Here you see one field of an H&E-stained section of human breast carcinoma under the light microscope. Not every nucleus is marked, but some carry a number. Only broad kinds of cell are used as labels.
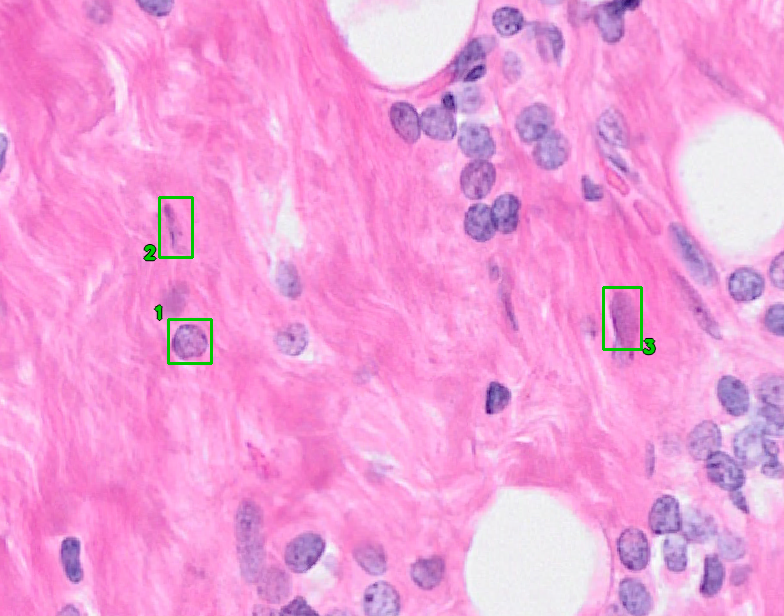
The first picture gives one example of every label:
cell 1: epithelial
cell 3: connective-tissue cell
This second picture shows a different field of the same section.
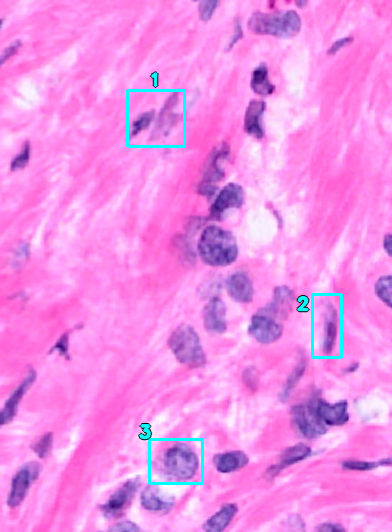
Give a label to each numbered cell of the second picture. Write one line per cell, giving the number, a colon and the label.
1: connective-tissue cell
2: connective-tissue cell
3: epithelial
